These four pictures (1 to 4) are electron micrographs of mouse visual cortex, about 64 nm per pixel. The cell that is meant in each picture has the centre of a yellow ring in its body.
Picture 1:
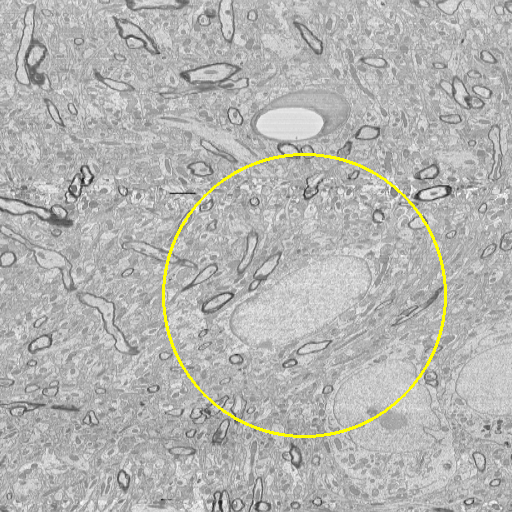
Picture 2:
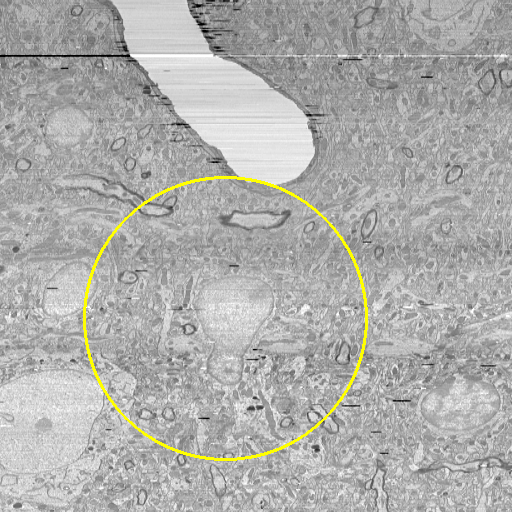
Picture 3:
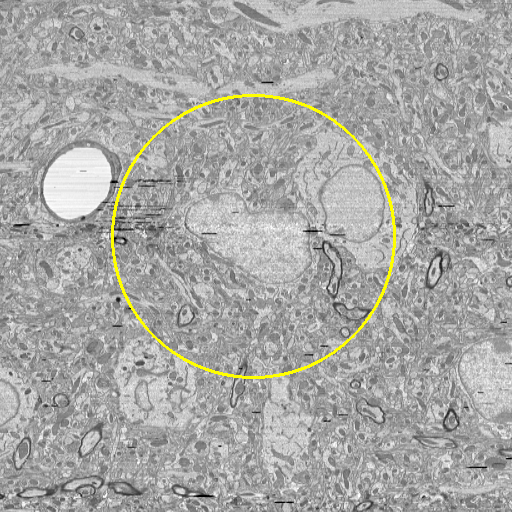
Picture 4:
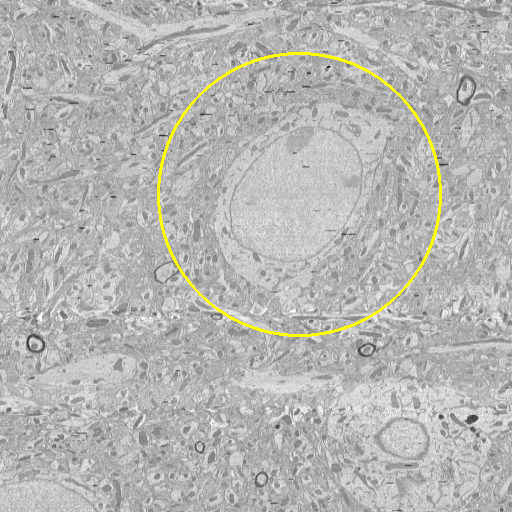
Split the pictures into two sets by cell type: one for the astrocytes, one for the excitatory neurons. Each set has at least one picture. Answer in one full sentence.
Pictures 1, 2 and 3 show astrocytes, and picture 4 shows an excitatory neuron.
